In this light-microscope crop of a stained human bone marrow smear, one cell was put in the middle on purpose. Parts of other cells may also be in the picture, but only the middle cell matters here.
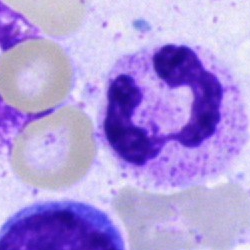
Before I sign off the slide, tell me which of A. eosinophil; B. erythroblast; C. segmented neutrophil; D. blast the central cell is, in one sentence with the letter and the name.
That the central cell is a segmented neutrophil makes option C correct.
